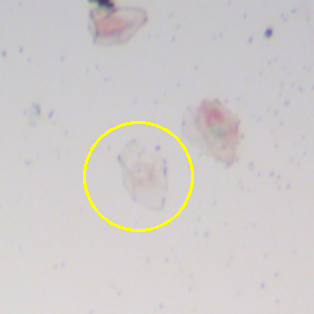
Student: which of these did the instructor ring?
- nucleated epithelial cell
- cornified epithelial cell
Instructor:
The cell I ringed is a cornified epithelial cell.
